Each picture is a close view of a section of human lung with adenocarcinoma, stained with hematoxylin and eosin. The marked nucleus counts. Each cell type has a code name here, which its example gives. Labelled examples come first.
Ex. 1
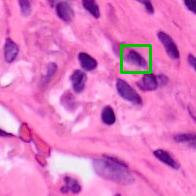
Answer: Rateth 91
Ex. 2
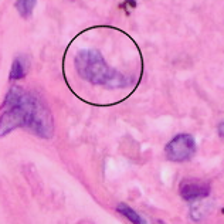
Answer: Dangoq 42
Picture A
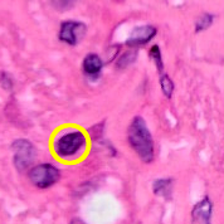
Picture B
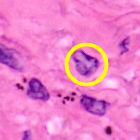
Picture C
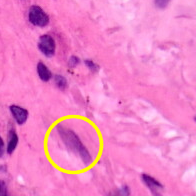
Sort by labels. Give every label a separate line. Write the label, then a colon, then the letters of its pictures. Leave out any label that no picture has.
Rateth 91: A
Dangoq 42: B, C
